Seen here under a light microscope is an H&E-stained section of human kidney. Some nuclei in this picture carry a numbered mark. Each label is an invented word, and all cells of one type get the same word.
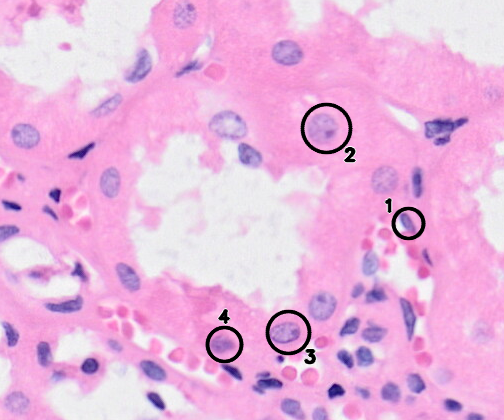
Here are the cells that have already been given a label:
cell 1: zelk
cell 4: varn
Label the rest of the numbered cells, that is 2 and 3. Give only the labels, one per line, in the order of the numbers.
varn
varn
